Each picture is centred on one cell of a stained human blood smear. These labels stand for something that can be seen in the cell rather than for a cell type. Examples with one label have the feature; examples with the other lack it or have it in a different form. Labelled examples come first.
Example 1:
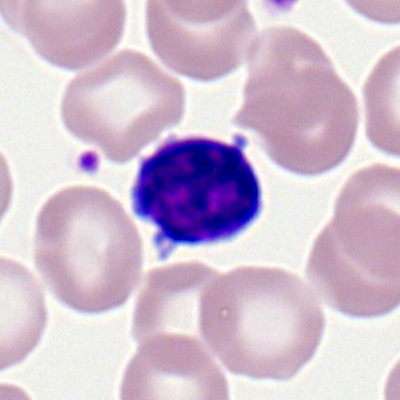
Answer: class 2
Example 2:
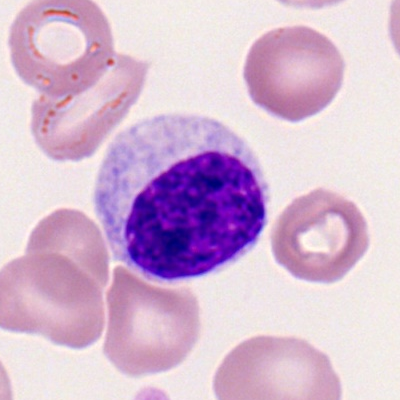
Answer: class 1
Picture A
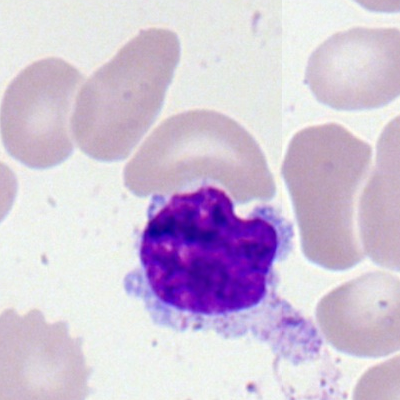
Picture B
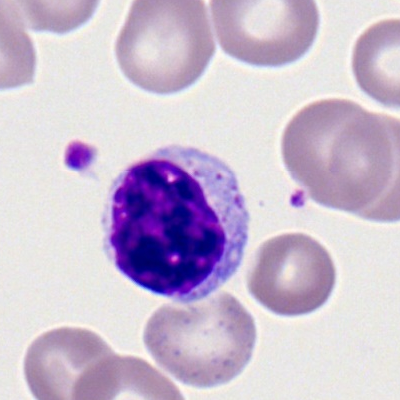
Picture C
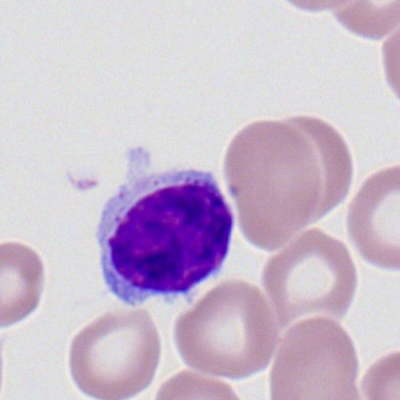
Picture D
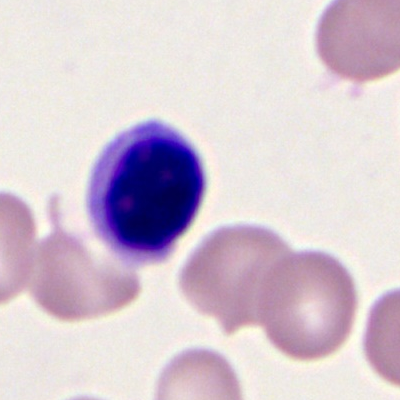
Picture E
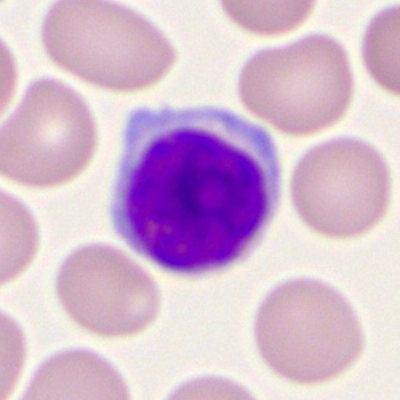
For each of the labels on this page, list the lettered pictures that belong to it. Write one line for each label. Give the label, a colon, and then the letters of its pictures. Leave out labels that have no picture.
class 2: A, C, E
class 1: B, D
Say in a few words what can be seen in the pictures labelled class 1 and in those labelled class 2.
class 1, smooth outline; class 2, ragged outline or projections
